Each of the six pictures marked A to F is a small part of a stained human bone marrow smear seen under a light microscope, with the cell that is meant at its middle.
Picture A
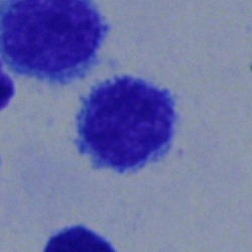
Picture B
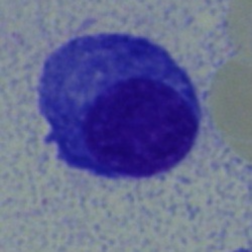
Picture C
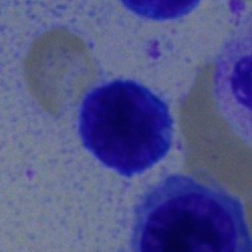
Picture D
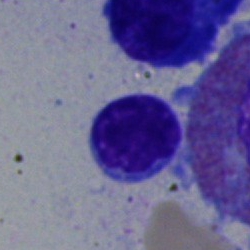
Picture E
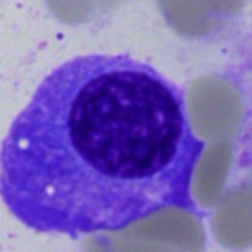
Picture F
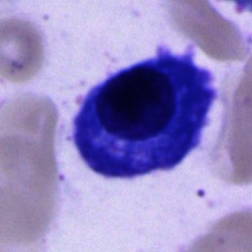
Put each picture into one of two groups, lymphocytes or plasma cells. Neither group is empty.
A: lymphocyte
B: plasma cell
C: lymphocyte
D: lymphocyte
E: plasma cell
F: plasma cell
